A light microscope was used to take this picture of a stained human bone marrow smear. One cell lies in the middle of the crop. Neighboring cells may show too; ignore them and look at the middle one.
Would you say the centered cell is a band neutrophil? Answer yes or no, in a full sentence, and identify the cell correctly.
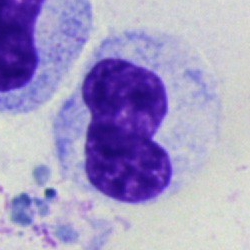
Yes, placed in the middle of the crop is a band neutrophil.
